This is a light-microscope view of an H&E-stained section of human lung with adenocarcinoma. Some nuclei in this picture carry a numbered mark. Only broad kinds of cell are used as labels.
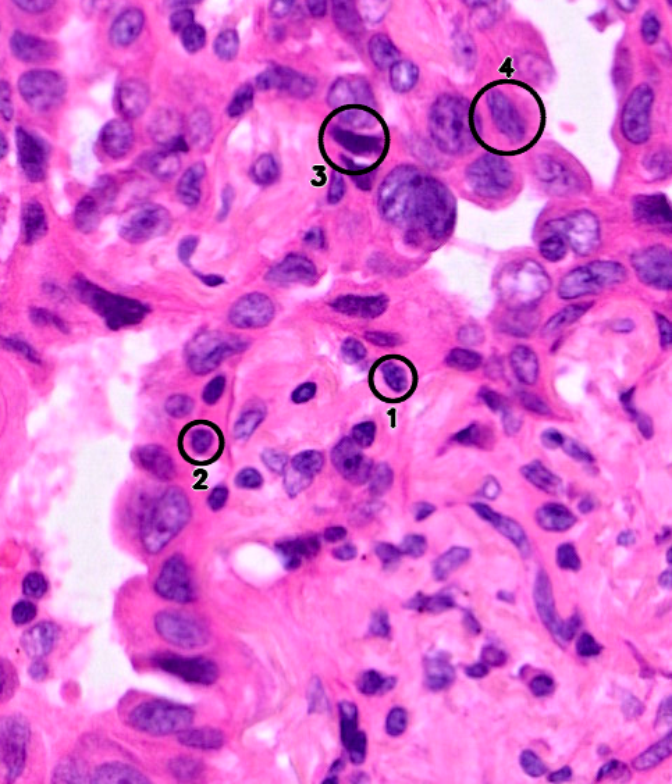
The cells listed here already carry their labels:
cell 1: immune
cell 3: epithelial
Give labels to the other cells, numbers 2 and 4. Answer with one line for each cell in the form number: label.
2: immune
4: epithelial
